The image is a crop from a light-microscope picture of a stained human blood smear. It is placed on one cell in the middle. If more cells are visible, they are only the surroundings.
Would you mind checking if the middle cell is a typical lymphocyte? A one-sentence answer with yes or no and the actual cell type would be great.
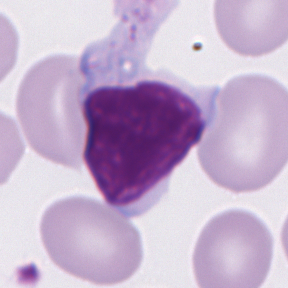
No, the cell found centrally in the crop is a large granular lymphocyte, not a typical lymphocyte.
